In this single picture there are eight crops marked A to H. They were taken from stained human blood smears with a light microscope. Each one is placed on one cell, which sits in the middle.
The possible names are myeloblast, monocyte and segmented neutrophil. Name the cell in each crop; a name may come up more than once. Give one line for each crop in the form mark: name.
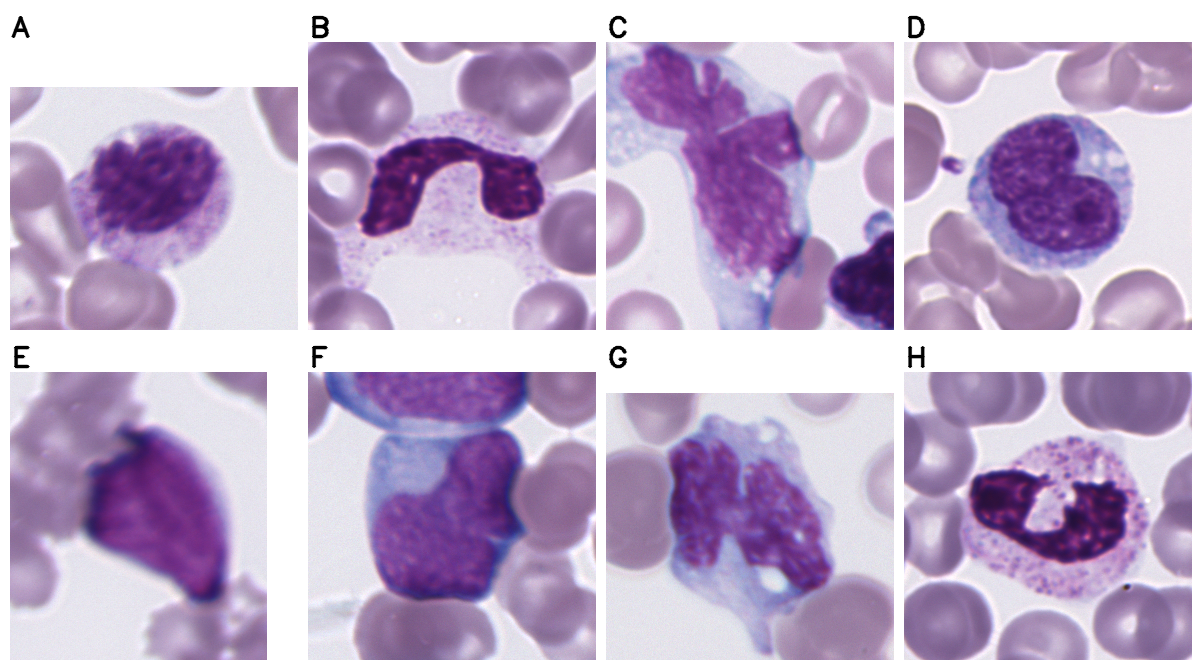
A: segmented neutrophil
B: segmented neutrophil
C: monocyte
D: monocyte
E: myeloblast
F: myeloblast
G: monocyte
H: segmented neutrophil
